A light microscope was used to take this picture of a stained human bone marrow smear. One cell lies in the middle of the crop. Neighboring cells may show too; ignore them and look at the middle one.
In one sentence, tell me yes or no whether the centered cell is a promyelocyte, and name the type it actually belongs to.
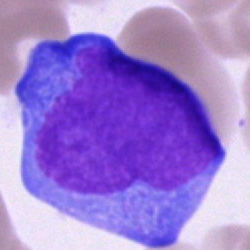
No, the cell in the middle is a blast; it is not a promyelocyte.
